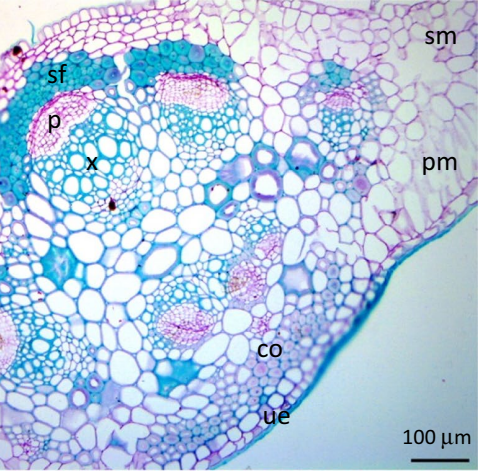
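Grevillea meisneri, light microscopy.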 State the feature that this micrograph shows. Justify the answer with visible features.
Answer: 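Mid-rib of a leaf. Several vascular bundles with blue-stained xylem and pink phloem lie in a thickened region. Caps of thick-walled blue-stained fibres sit beside the bundles. Columnar palisade cells appear at the upper right edge, continuing into a thin blade.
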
